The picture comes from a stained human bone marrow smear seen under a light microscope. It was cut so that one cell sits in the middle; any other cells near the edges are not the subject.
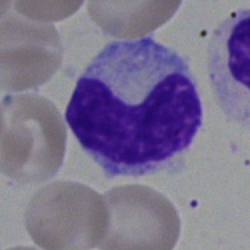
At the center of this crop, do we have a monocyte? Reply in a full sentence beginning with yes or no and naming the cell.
No, this is not a monocyte at all; the cell in the middle is a band neutrophil.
